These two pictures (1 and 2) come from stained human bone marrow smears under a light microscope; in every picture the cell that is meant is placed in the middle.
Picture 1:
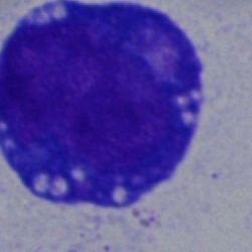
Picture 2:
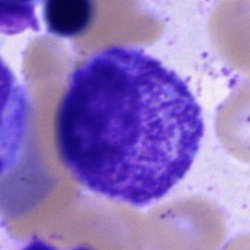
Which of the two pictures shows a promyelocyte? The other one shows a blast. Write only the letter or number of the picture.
2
